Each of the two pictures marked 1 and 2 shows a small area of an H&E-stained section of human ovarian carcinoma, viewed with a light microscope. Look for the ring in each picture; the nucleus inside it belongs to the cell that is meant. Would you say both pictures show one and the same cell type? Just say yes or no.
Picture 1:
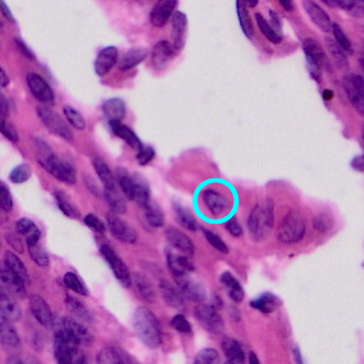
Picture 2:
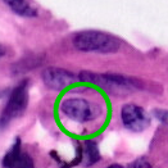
no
